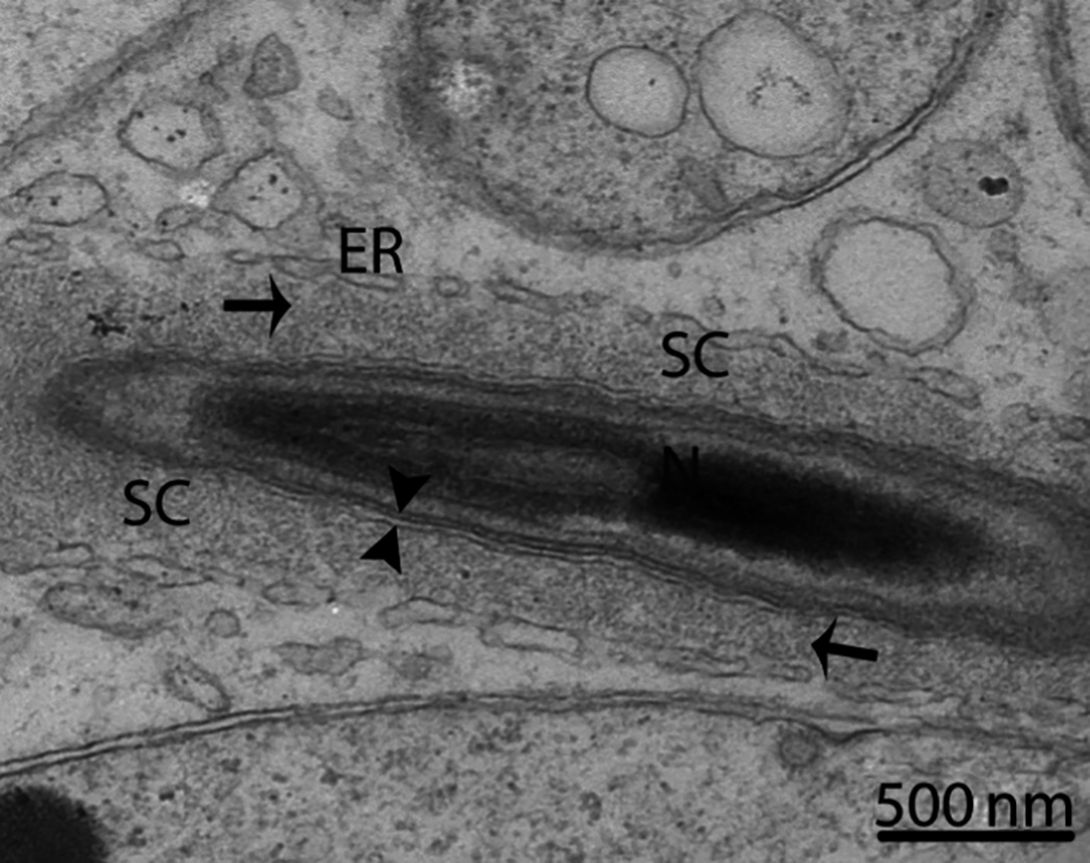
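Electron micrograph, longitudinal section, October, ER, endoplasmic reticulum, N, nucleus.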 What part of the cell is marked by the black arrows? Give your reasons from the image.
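The arrows point to a finely fibrous, granular band of cytoplasm. This band runs parallel to the elongated central cell. So: microfilaments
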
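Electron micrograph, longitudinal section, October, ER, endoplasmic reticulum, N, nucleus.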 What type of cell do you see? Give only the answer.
Spermatid.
